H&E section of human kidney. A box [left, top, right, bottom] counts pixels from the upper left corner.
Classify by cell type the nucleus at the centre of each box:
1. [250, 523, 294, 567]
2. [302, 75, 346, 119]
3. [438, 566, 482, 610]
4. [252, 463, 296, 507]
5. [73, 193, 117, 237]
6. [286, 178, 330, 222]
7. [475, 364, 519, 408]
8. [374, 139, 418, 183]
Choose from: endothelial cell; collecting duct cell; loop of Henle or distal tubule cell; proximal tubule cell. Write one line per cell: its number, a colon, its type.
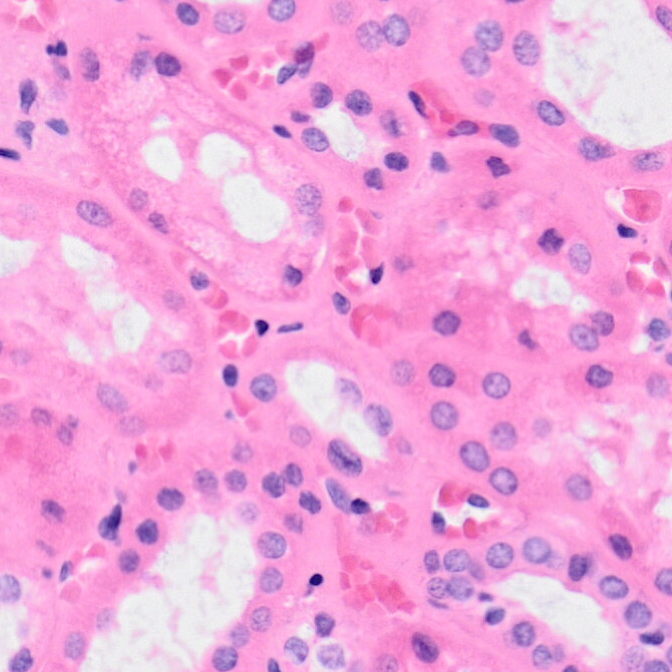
1: loop of Henle or distal tubule cell
2: loop of Henle or distal tubule cell
3: collecting duct cell
4: loop of Henle or distal tubule cell
5: proximal tubule cell
6: proximal tubule cell
7: proximal tubule cell
8: loop of Henle or distal tubule cell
